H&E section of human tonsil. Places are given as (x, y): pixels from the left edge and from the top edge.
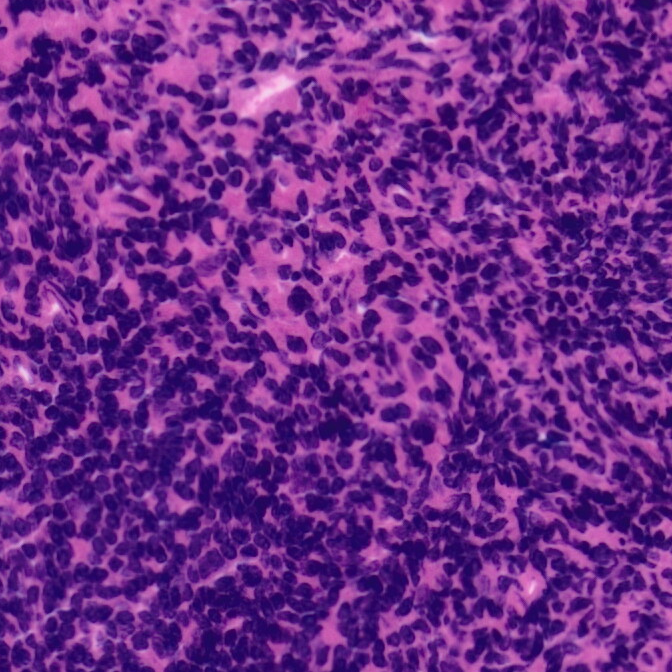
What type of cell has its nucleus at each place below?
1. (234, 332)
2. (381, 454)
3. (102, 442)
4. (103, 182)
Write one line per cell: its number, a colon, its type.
1: small lymphocyte
2: small lymphocyte
3: small lymphocyte
4: endothelial cell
